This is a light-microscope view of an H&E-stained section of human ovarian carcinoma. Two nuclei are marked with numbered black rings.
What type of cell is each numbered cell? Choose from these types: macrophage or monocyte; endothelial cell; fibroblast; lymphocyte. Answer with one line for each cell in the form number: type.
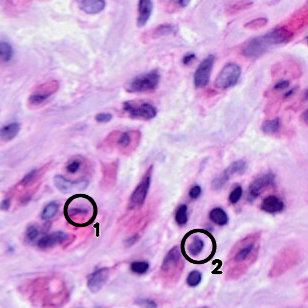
1: endothelial cell
2: lymphocyte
